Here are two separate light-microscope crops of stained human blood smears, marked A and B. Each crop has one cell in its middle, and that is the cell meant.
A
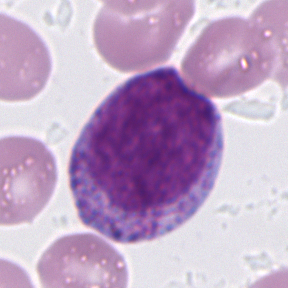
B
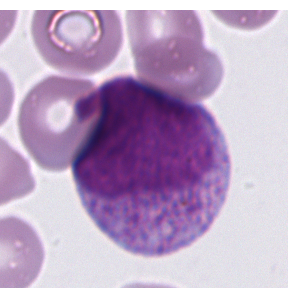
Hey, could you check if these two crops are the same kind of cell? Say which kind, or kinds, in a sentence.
Yes, myelocytes occupy the centre of both crops.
